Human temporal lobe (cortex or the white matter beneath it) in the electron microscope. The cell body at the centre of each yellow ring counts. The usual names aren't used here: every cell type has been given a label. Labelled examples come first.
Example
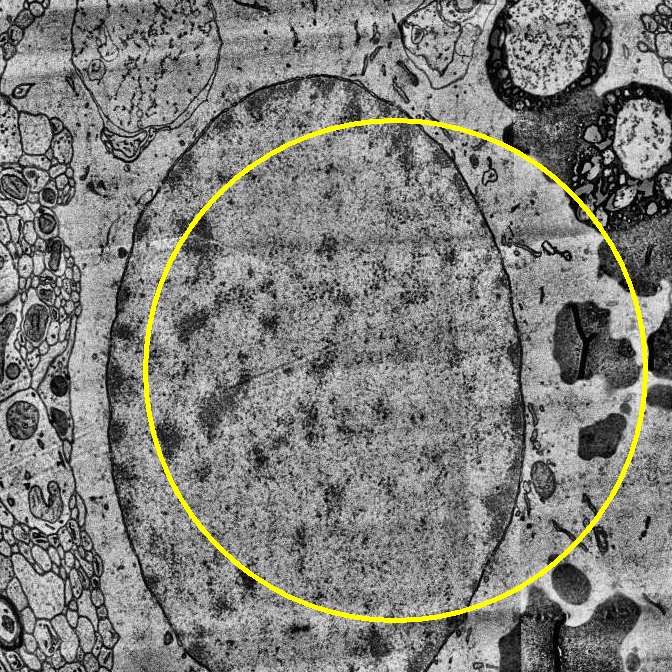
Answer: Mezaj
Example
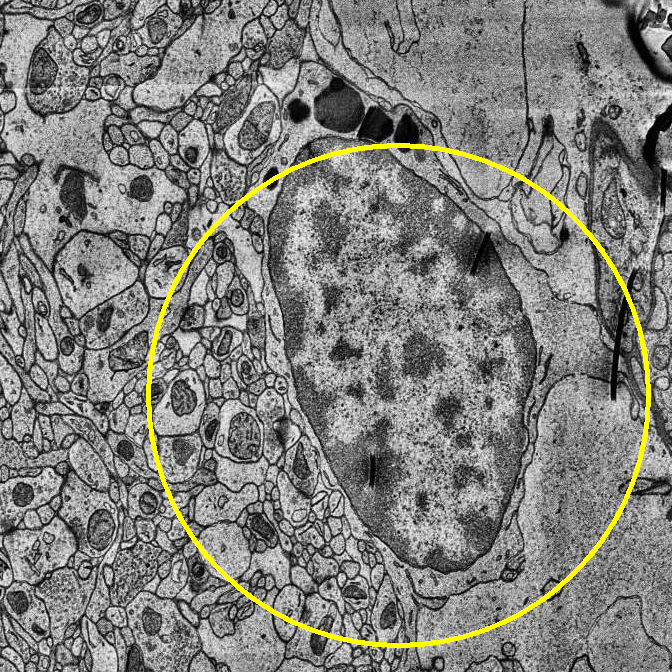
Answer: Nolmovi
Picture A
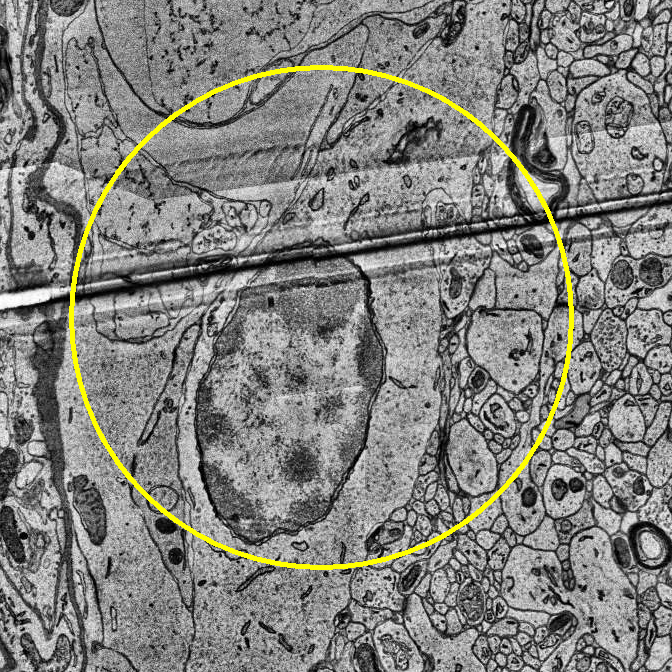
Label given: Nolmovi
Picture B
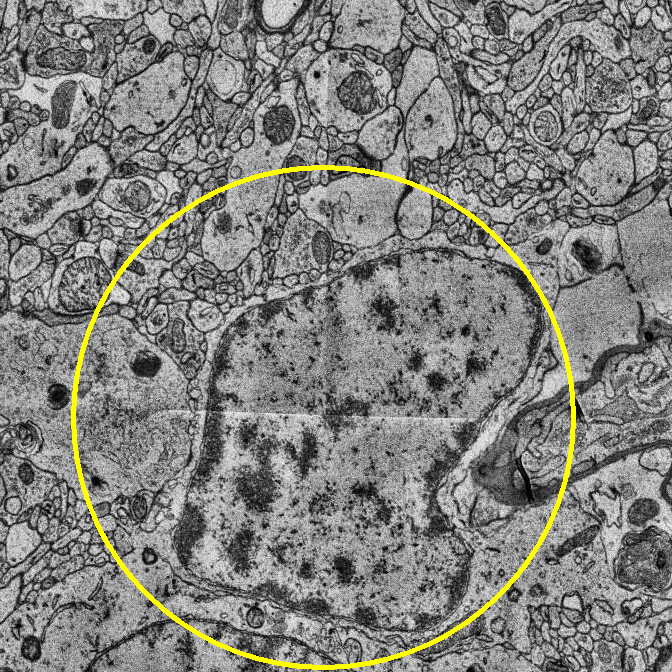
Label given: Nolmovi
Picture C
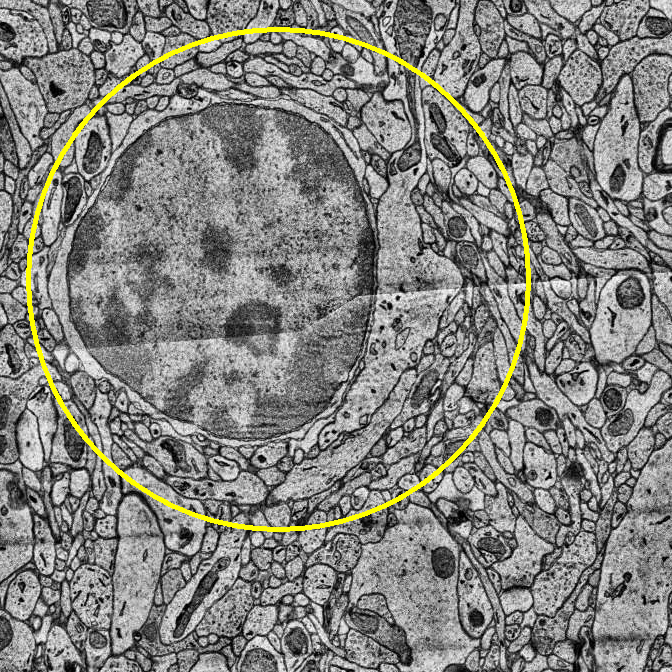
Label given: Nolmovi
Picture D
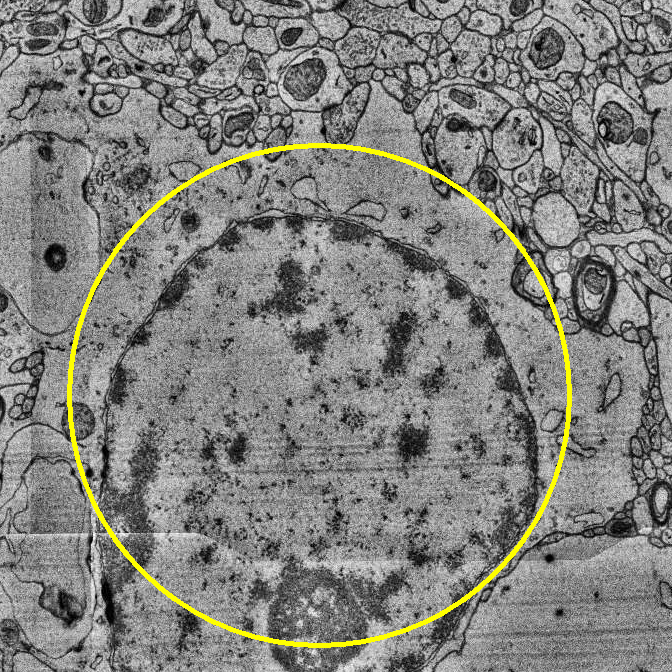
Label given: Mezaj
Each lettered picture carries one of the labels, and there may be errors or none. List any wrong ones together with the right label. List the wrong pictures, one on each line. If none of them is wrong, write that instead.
Nothing to fix; every label fits.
